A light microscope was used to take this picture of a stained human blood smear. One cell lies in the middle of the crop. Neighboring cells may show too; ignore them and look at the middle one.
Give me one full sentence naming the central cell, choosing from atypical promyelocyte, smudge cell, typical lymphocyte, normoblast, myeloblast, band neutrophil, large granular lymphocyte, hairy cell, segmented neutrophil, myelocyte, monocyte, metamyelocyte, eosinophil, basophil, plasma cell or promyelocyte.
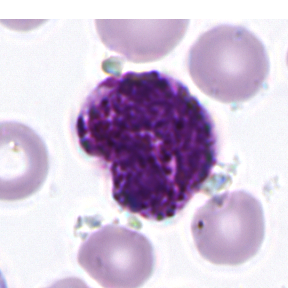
Of the cells in this crop, the central one is a basophil.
